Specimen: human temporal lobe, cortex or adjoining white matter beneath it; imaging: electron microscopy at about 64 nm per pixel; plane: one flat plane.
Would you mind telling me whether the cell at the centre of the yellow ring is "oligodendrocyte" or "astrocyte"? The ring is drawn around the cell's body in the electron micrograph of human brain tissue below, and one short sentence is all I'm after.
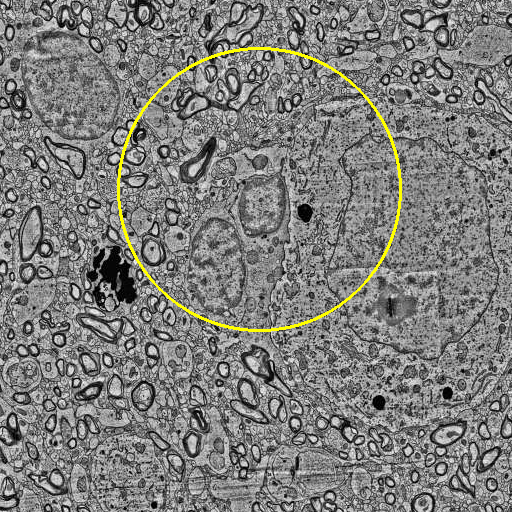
In the centre of the ring lies an oligodendrocyte.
